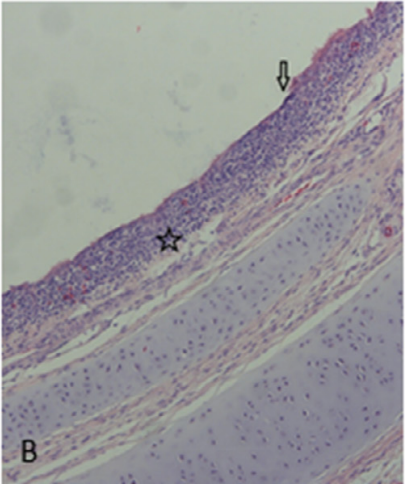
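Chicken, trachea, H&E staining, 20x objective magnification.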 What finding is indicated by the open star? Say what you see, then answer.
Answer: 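Mononuclear inflammatory cell infiltration. The star lies in a band beneath the surface crowded with small, round, dark-blue nuclei. The dense band lies above the pale cartilage.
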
